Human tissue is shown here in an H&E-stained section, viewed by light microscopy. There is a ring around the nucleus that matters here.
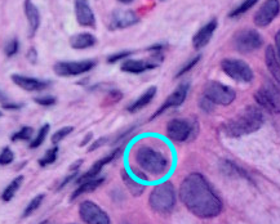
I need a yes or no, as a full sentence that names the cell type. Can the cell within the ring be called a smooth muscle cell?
No, the cell within the ring isn't a smooth muscle cell; it is a secretory epithelial cell.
